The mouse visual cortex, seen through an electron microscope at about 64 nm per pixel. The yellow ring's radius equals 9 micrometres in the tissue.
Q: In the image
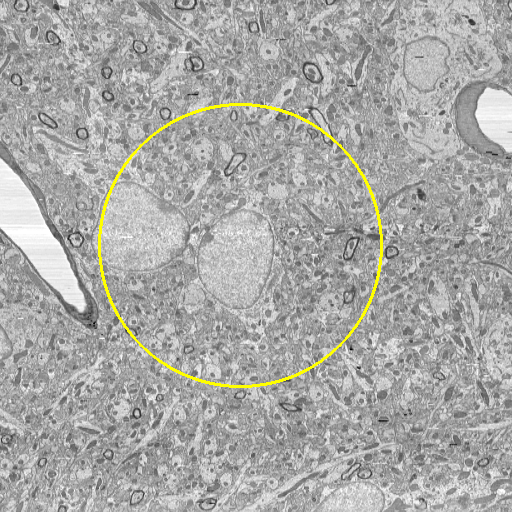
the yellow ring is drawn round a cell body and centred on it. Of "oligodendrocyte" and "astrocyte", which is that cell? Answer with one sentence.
The cell centred in the ring is an astrocyte.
